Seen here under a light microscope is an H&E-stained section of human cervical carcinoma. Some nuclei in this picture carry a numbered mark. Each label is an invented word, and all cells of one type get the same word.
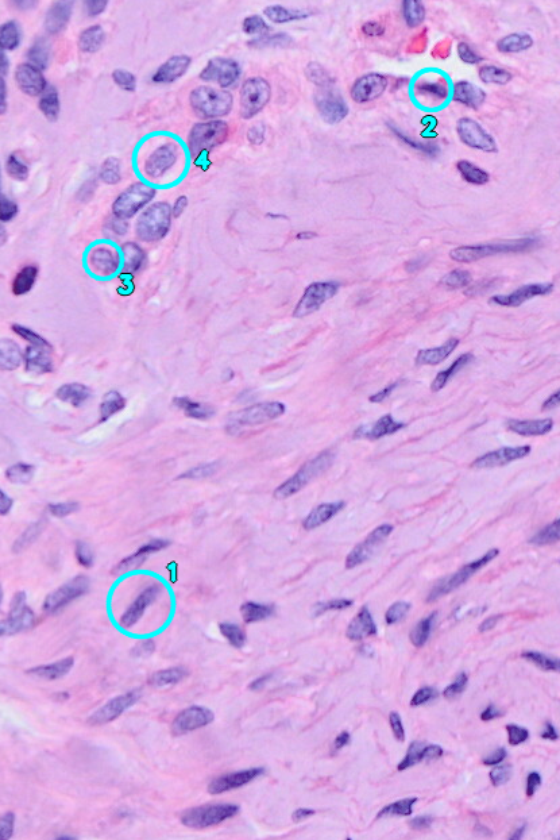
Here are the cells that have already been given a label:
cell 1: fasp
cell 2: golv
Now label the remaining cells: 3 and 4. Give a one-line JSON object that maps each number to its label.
{"3": "golv", "4": "golv"}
